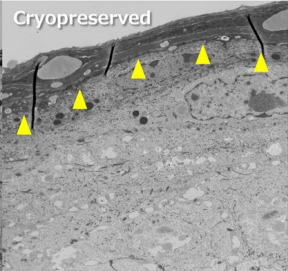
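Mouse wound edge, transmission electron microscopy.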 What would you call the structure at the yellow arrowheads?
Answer: boundary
